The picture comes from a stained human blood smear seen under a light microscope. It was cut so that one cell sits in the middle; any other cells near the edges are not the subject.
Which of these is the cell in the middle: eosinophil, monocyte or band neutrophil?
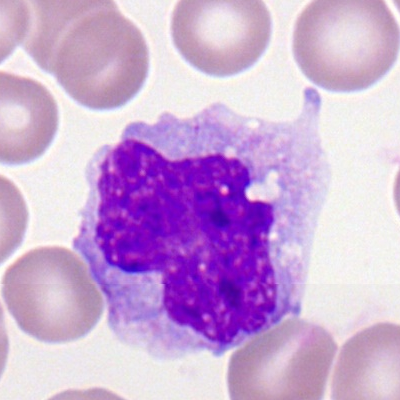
monocyte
